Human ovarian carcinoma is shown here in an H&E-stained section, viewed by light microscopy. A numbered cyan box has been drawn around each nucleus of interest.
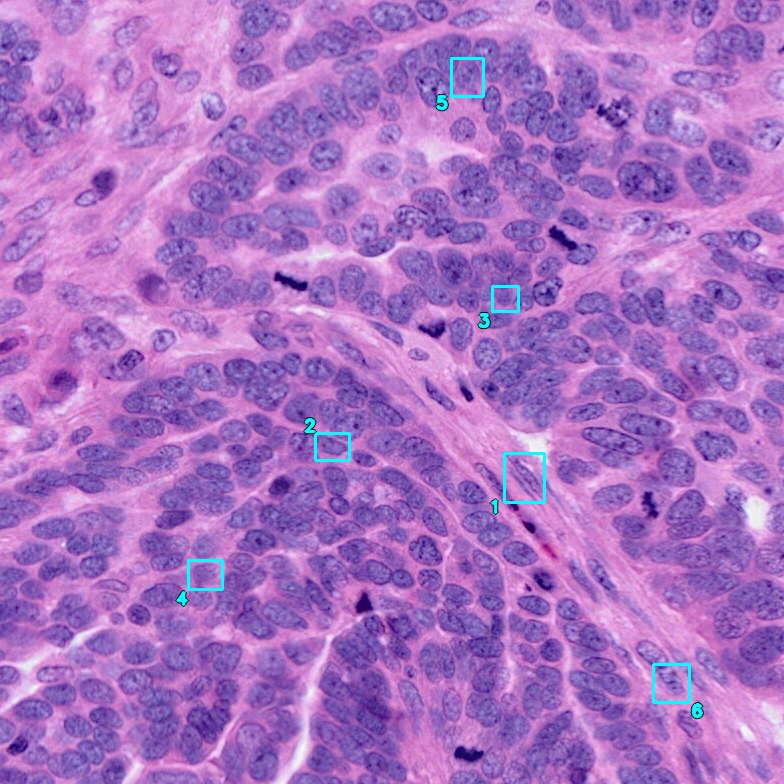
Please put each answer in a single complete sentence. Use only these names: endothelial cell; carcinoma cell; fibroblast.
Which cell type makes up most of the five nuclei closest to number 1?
Endothelial cells account for more than half of the five nuclei nearest to number 1.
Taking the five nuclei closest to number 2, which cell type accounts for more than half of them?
Carcinoma cells account for more than half of the five nuclei nearest to number 2.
